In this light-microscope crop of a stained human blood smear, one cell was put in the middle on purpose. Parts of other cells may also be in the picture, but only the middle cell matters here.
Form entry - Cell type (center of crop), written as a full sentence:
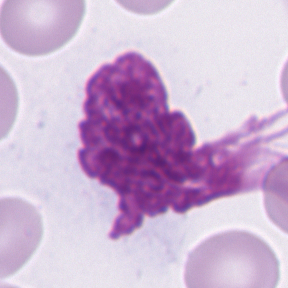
This particular crop is centered on a smudge cell.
